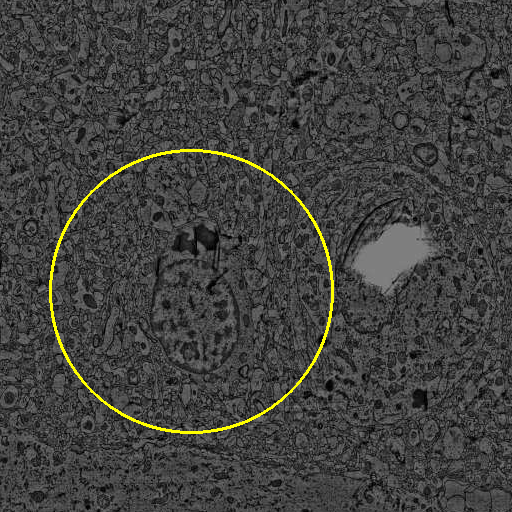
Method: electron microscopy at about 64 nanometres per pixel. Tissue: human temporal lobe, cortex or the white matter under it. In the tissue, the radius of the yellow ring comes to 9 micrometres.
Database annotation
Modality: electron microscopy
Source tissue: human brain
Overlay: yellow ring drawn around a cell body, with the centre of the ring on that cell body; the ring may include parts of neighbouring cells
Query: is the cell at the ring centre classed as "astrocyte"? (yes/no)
no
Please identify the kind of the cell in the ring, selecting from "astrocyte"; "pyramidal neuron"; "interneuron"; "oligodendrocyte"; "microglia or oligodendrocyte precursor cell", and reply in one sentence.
Instead, the ring in this picture marks an oligodendrocyte.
